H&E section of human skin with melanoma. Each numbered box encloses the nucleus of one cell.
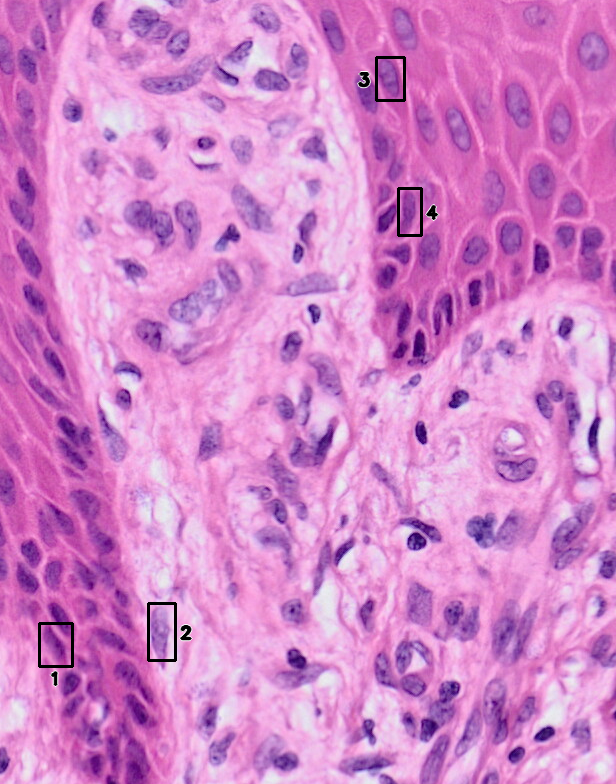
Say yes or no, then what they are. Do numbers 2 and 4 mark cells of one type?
No, cell 2 should be called a fibroblast or myofibroblast, and cell 4 should be called a keratinocyte.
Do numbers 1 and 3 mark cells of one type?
Yes, both cell 1 and cell 3 count among the keratinocytes.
